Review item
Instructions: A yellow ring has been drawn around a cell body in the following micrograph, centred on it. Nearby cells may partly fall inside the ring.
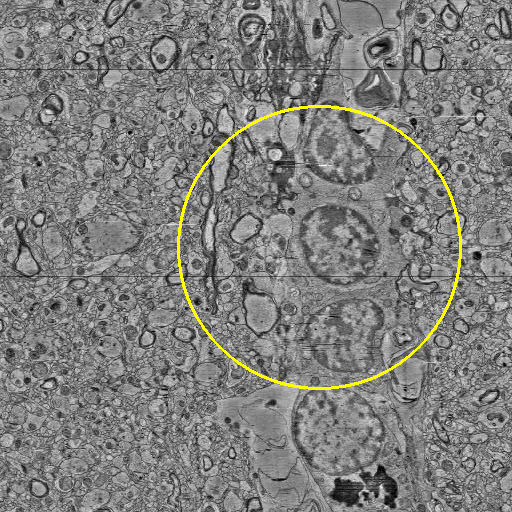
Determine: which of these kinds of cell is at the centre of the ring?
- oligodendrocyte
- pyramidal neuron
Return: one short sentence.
The cell body in the middle of the ring is that of an oligodendrocyte.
